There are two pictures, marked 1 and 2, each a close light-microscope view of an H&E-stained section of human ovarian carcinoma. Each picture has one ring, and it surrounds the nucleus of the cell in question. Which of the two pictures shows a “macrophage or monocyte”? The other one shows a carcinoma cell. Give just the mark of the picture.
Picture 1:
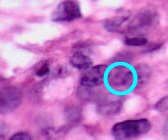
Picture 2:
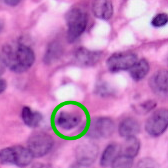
2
